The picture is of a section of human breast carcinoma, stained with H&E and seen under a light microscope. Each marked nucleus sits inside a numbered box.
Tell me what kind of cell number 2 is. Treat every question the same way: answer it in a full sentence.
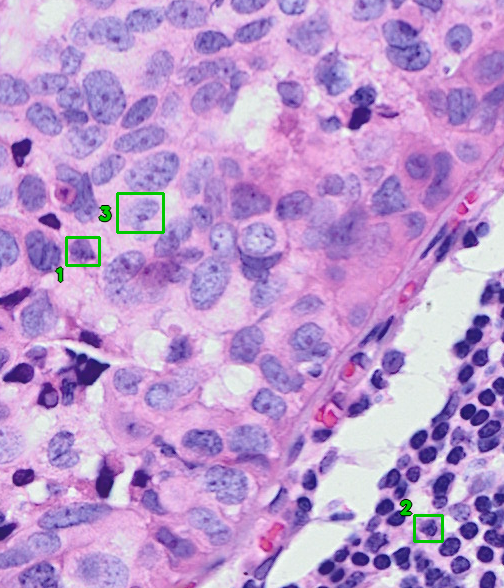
The cell indicated by marker 2 is a lymphocyte in this section.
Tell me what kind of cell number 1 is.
The cell that bears the number 1 is a carcinoma cell.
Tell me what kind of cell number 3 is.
The cell that carries the label 3 is a carcinoma cell.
